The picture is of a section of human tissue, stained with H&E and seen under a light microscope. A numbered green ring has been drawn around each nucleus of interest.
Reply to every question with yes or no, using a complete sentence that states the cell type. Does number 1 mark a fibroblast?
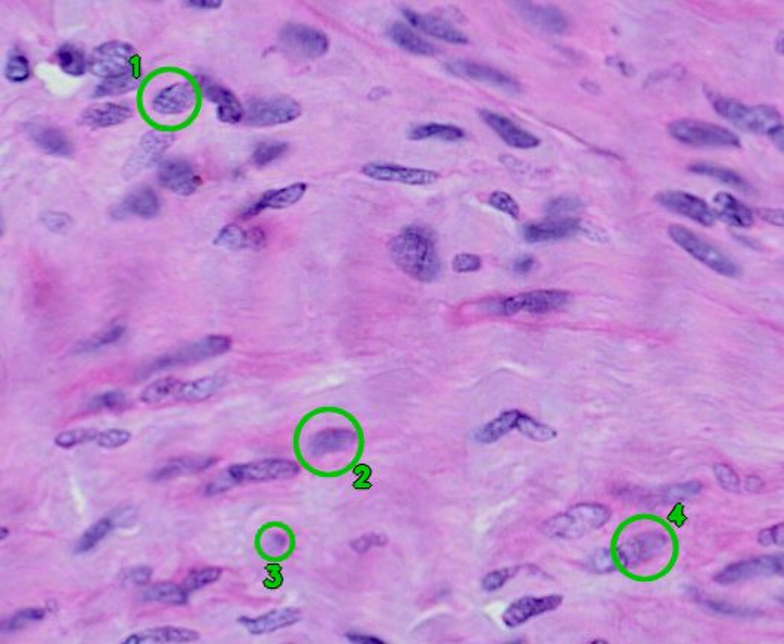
Yes, within this section, cell number 1 is a fibroblast.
